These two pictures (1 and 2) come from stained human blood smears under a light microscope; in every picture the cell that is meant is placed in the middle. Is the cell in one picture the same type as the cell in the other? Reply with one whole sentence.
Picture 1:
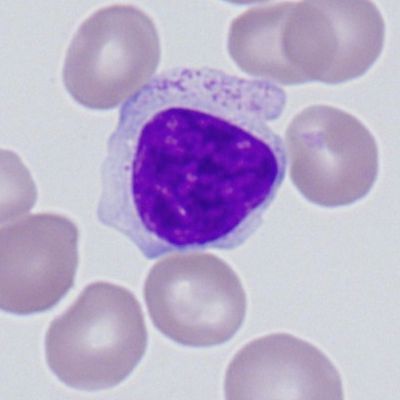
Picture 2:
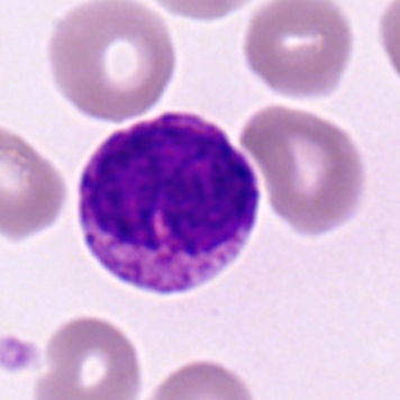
No, they differ: the cell is a lymphocyte in picture 1 and a basophil in picture 2.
